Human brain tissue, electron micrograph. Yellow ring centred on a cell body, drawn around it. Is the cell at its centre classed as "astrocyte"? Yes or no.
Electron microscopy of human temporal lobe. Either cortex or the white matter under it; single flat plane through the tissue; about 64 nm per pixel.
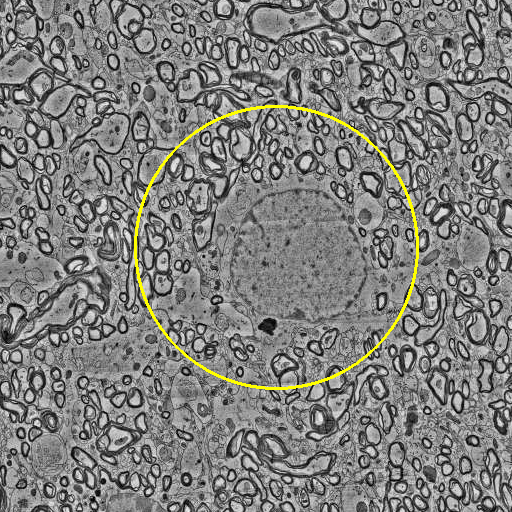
Yes, it is classed as that.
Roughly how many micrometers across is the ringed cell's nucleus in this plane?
The nucleus of the ringed cell is approximately 9 micrometres across in this plane.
